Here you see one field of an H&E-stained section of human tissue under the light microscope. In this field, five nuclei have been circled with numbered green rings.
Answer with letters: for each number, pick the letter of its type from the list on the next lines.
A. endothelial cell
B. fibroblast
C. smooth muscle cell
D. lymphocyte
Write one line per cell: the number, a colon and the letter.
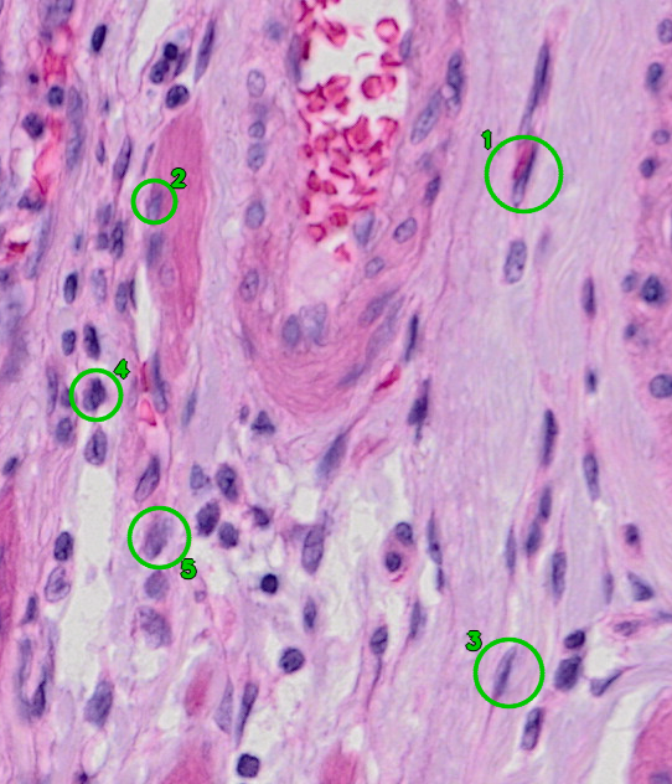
1: A
2: C
3: B
4: D
5: B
